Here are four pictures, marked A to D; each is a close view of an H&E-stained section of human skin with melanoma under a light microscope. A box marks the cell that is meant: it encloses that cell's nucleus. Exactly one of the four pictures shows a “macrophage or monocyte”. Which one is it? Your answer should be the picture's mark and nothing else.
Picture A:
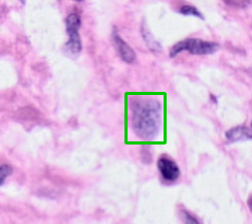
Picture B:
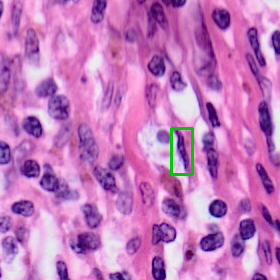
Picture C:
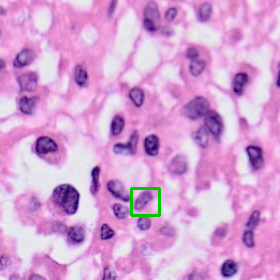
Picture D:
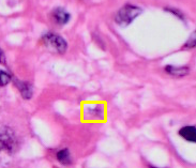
C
